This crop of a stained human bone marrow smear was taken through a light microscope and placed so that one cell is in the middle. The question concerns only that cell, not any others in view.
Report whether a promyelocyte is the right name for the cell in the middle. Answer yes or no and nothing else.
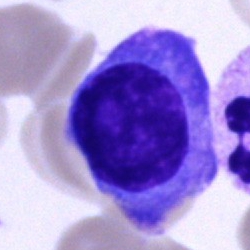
no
